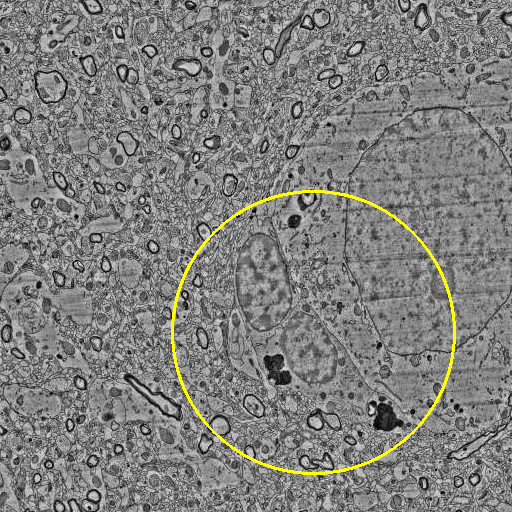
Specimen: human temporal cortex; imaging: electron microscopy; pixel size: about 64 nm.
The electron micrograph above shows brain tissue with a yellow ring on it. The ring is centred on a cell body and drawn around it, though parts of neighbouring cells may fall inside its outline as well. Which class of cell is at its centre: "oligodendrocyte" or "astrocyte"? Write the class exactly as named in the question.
oligodendrocyte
